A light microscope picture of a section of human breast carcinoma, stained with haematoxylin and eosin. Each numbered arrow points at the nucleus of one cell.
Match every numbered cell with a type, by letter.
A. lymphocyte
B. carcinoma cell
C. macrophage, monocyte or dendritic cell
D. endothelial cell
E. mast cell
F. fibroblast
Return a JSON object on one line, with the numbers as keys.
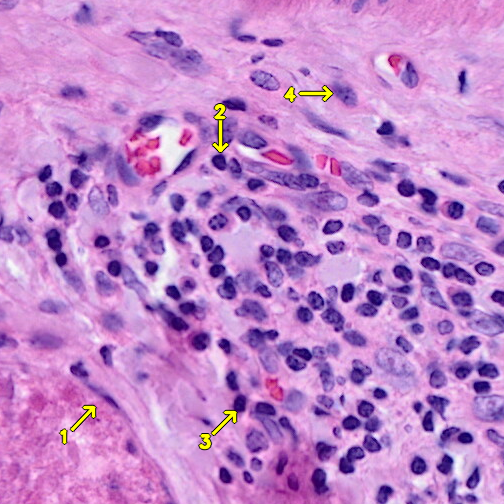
{"1": "F", "2": "A", "3": "A", "4": "E"}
